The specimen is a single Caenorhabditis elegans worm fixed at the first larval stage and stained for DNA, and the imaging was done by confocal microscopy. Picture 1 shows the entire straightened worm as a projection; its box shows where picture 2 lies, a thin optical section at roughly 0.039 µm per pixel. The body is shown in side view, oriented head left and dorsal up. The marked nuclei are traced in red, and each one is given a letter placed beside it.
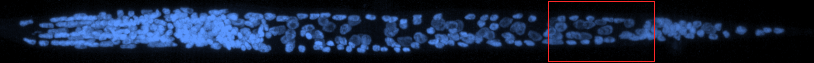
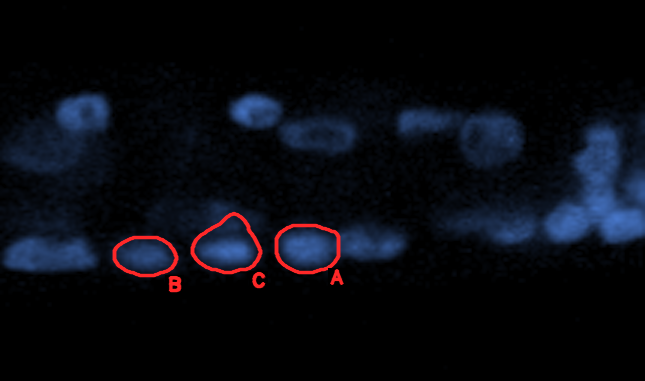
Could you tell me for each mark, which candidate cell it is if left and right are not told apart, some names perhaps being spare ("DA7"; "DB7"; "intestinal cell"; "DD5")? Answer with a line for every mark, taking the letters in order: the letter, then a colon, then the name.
A: DA7
B: DD5
C: DB7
